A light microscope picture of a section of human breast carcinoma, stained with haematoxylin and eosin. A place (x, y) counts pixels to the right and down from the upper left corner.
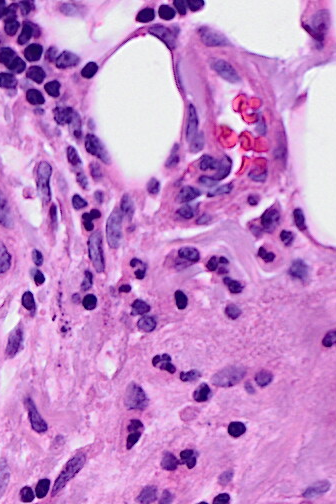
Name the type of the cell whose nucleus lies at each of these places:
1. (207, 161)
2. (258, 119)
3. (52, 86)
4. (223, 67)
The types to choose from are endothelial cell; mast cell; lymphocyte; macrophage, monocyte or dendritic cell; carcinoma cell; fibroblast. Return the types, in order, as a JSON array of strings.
["endothelial cell", "endothelial cell", "lymphocyte", "endothelial cell"]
